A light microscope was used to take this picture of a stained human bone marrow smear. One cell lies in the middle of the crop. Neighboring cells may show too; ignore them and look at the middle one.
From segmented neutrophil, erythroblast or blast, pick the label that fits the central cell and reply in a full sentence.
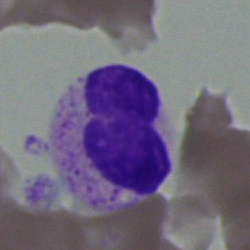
This crop's central cell is a segmented neutrophil.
